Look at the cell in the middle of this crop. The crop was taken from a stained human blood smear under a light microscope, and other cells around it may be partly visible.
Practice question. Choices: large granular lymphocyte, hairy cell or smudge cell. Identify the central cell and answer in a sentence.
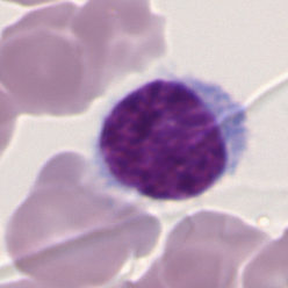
To answer, the cell in the center of the crop is a hairy cell.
